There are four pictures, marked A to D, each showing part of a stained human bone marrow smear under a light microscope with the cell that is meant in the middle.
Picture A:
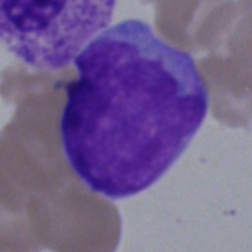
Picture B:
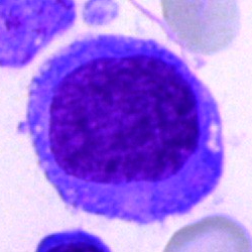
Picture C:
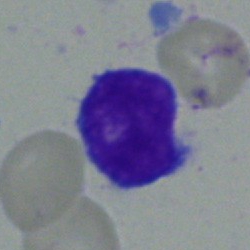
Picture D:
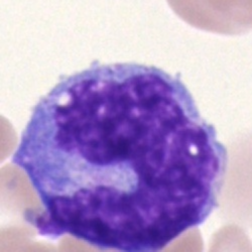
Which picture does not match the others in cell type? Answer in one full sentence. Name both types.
The different one is picture D; it shows a monocyte, whereas all the others show blasts.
